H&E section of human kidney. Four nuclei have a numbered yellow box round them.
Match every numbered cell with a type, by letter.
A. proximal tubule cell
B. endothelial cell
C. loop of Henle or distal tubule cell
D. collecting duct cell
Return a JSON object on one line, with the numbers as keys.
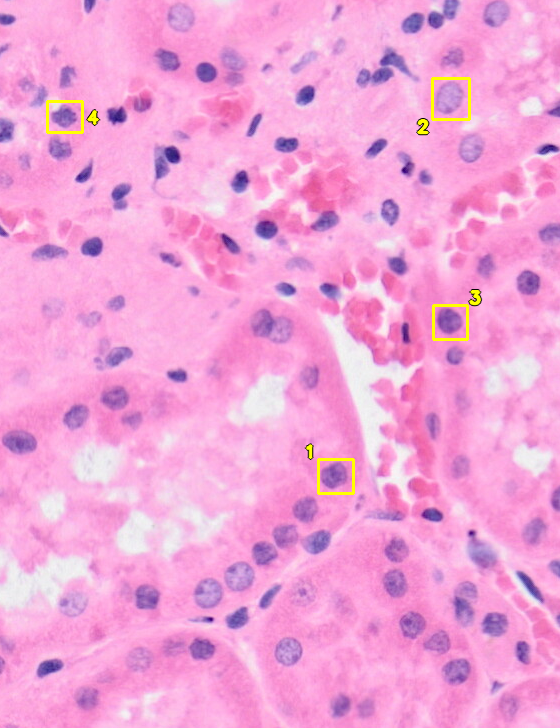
{"1": "A", "2": "A", "3": "A", "4": "C"}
